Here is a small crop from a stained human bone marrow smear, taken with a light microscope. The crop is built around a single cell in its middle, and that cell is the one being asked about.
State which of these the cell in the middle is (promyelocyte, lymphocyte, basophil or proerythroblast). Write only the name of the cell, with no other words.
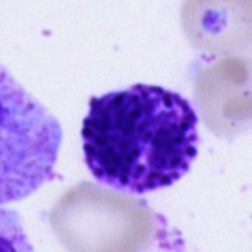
basophil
